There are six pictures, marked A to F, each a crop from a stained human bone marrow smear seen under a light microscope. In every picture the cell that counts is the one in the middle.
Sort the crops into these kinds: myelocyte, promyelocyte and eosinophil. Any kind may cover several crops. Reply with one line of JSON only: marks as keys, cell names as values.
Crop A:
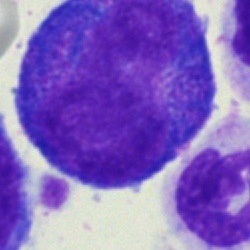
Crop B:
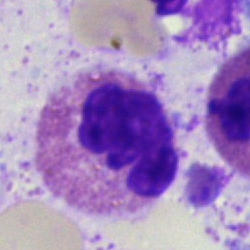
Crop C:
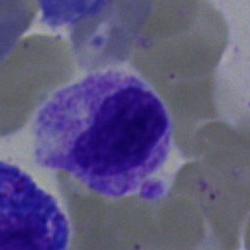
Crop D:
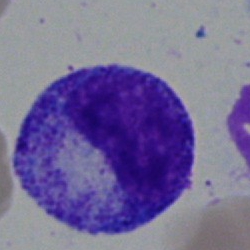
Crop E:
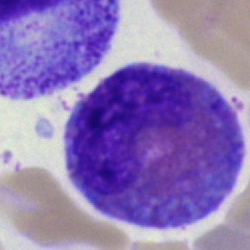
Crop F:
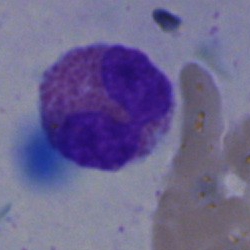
{"A": "promyelocyte", "B": "eosinophil", "C": "myelocyte", "D": "myelocyte", "E": "eosinophil", "F": "eosinophil"}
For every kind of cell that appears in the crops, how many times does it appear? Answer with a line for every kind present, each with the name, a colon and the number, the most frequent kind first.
eosinophil: 3
myelocyte: 2
promyelocyte: 1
